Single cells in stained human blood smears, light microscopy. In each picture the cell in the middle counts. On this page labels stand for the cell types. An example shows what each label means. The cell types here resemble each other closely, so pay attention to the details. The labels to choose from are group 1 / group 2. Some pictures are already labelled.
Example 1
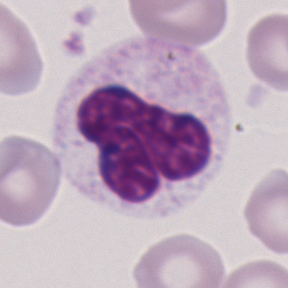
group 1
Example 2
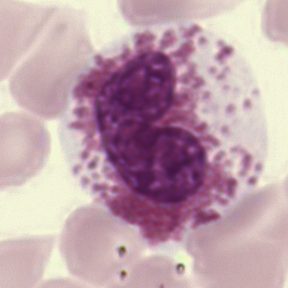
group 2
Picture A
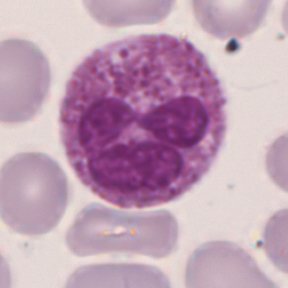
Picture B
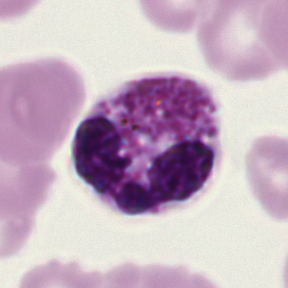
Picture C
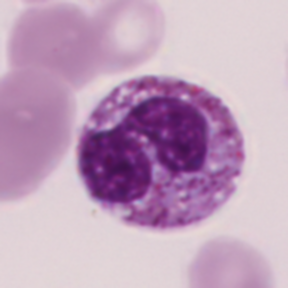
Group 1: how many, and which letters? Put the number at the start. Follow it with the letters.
0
